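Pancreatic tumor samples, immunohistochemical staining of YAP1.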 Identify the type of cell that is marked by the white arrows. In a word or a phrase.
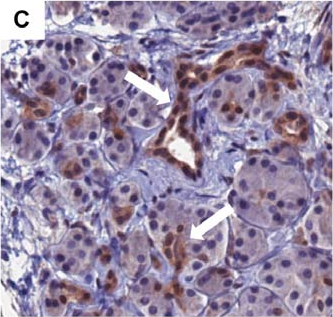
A: Centroacinar and small ductal cells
